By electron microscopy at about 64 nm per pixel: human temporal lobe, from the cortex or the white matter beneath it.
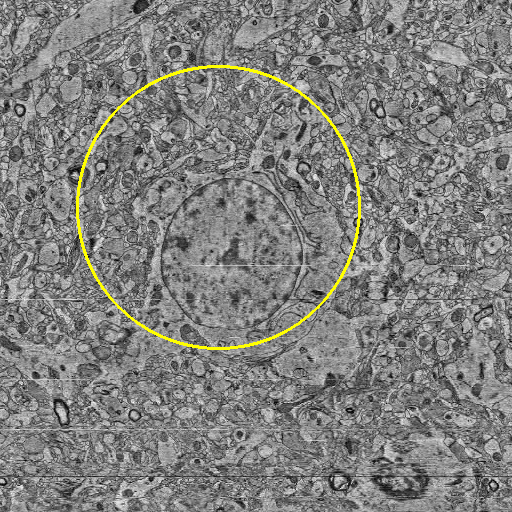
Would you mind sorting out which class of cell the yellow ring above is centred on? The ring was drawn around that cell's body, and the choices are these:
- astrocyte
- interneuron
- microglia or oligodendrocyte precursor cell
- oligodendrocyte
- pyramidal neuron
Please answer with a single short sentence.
This is the cell body of an astrocyte.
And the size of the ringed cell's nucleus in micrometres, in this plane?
About 10 by 9 micrometres in this plane.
